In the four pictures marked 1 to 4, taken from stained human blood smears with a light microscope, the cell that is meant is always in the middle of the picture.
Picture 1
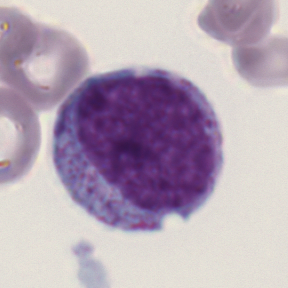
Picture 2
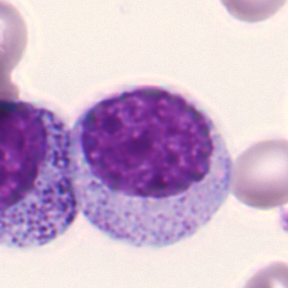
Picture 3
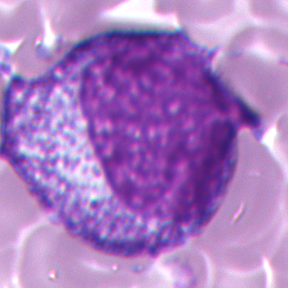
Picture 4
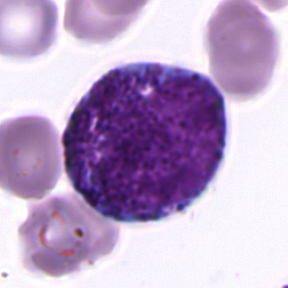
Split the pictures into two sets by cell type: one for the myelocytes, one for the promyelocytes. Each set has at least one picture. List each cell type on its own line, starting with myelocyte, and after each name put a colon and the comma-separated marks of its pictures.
myelocyte: 2
promyelocyte: 1, 3, 4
